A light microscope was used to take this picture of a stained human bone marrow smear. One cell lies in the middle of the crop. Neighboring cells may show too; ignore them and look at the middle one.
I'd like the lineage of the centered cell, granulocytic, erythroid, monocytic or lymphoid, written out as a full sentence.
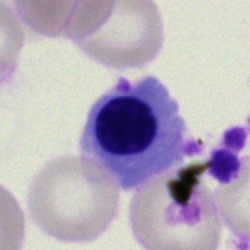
The centered cell is one of the erythroid lineage.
